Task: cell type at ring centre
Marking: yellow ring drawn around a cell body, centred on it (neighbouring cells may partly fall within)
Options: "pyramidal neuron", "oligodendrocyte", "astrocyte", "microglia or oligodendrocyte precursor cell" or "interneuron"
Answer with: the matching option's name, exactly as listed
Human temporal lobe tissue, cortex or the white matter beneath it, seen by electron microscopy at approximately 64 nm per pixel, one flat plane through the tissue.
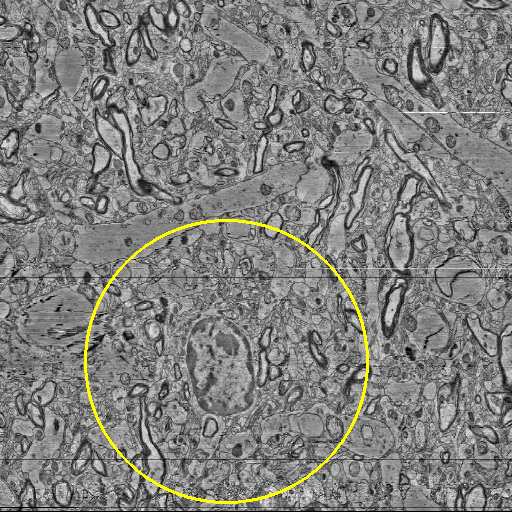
microglia or oligodendrocyte precursor cell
